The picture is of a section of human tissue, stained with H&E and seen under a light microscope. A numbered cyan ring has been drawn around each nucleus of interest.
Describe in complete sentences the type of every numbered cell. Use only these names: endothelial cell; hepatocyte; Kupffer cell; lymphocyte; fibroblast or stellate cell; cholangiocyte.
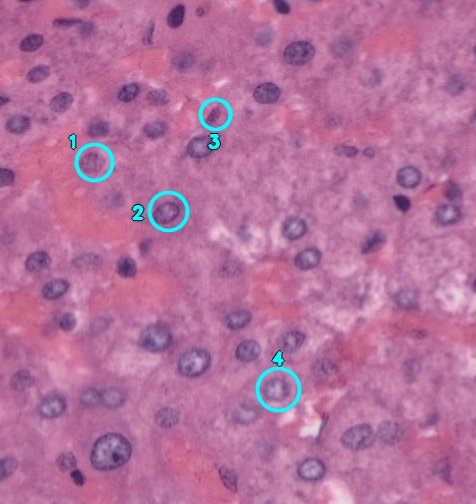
Cell 1 is a hepatocyte, cell 2 is a hepatocyte, cell 3 is a fibroblast or stellate cell and cell 4 is a hepatocyte.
